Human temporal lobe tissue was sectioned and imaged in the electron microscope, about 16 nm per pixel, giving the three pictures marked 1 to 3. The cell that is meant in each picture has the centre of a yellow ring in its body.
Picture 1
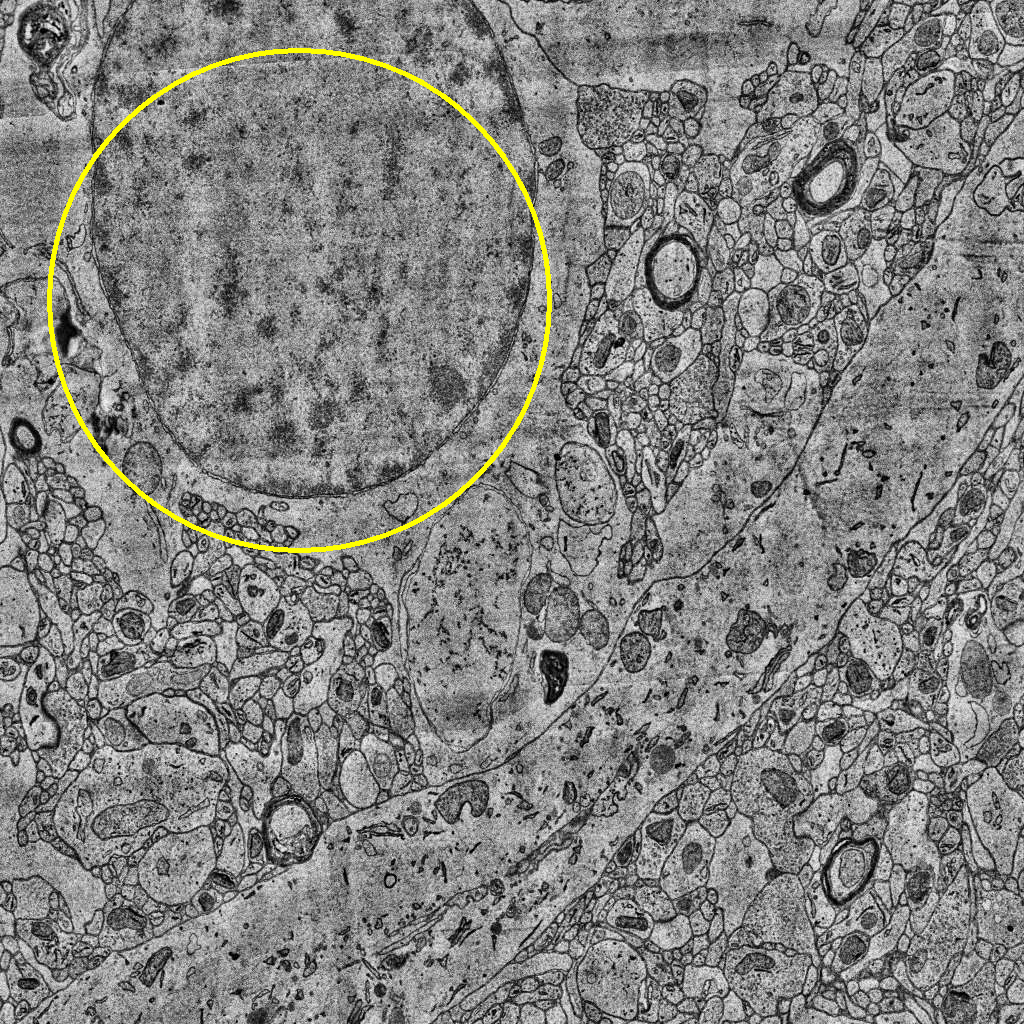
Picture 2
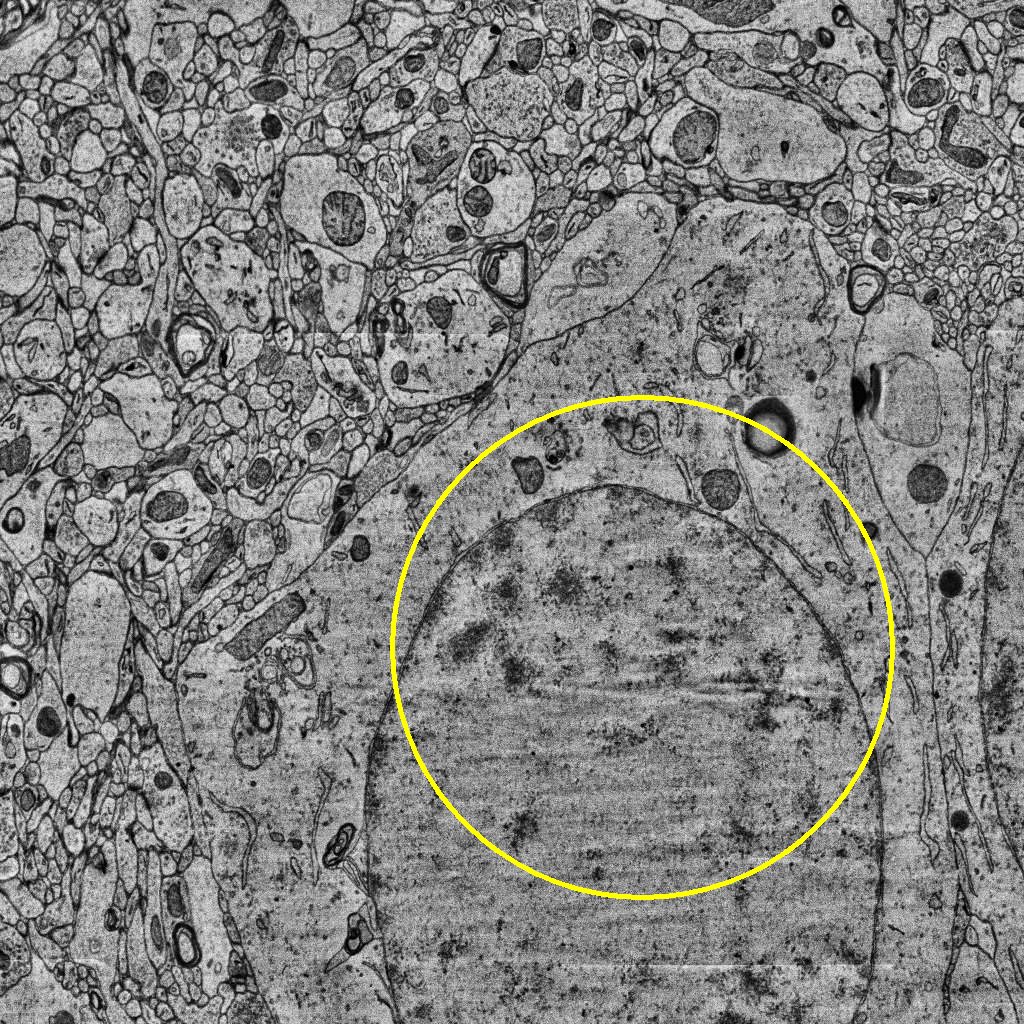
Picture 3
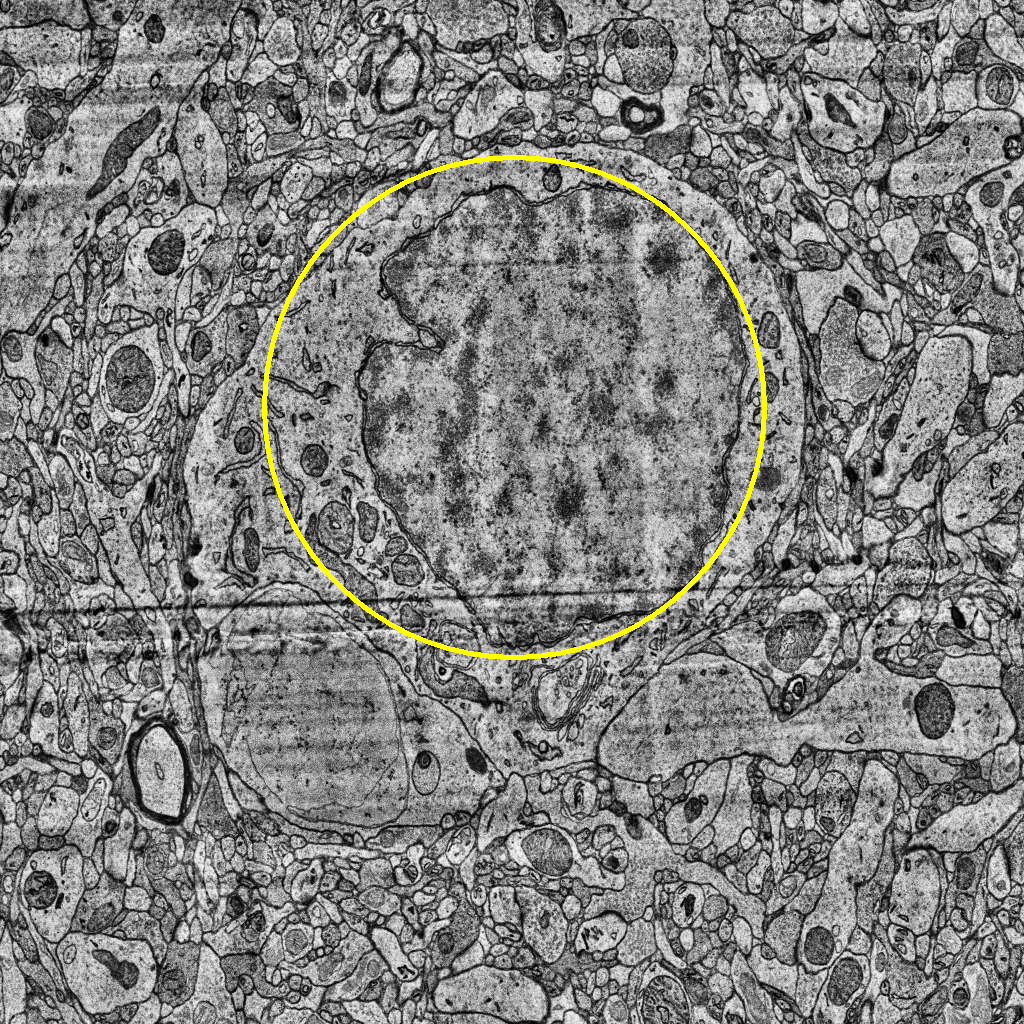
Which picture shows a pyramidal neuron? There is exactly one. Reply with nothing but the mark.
2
